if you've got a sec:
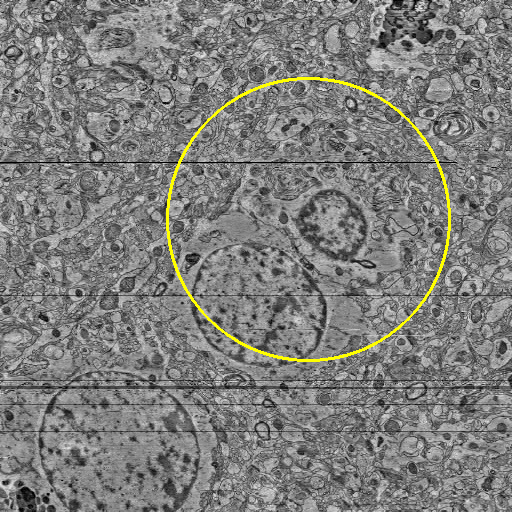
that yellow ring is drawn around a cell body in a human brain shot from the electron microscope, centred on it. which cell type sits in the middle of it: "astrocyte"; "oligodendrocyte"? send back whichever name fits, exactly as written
astrocyte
